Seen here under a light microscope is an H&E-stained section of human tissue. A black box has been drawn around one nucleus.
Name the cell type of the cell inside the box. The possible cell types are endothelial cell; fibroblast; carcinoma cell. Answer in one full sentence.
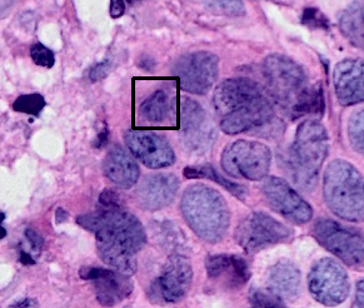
As a matter of cell type, the cell inside the box is a carcinoma cell.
